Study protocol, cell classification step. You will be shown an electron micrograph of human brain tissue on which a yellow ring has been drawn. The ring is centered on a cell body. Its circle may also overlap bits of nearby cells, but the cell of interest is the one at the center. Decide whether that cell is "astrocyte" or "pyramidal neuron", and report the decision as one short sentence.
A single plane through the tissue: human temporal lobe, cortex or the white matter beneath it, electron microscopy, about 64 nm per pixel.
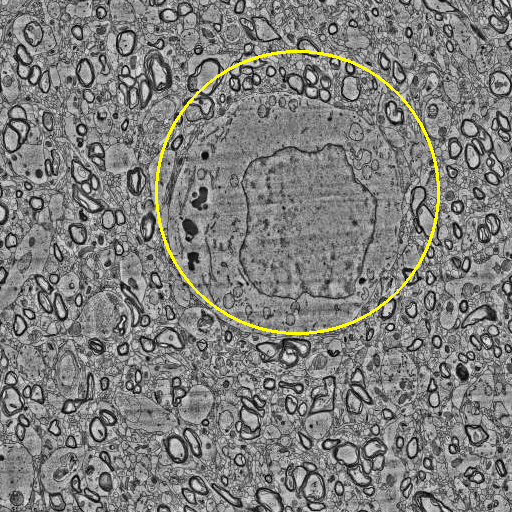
The marked cell is a pyramidal neuron.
